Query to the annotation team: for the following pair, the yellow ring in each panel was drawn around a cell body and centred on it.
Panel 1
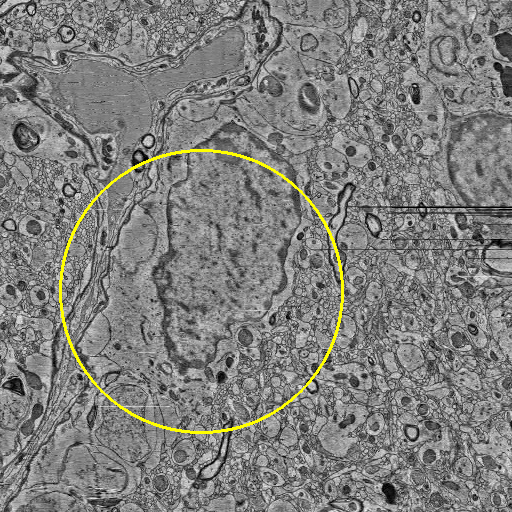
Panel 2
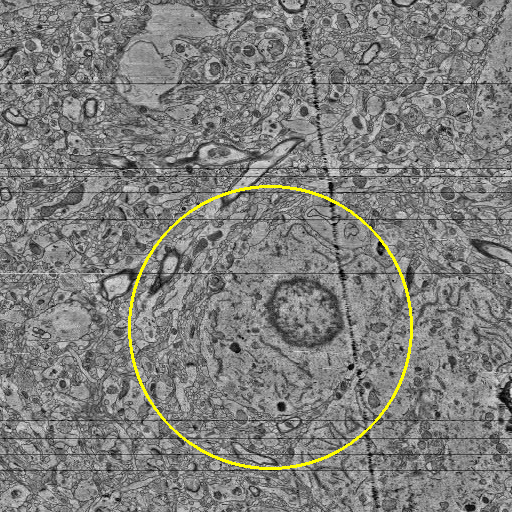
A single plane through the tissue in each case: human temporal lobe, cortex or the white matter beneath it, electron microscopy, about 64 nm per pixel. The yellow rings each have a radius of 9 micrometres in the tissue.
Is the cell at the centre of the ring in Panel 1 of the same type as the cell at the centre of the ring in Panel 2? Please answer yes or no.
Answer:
no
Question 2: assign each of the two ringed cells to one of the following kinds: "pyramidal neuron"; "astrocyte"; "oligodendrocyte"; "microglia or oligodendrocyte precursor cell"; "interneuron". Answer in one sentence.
The two cells are a microglial cell or oligodendrocyte precursor cell in the first picture and a pyramidal neuron in the second.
